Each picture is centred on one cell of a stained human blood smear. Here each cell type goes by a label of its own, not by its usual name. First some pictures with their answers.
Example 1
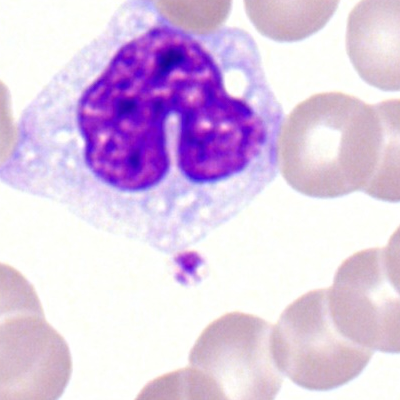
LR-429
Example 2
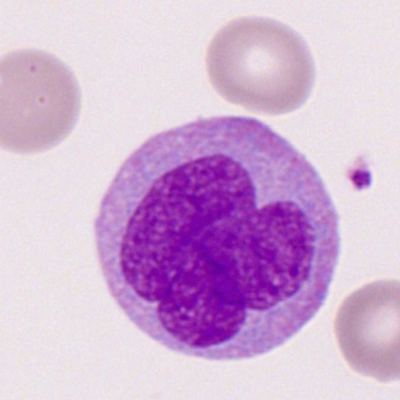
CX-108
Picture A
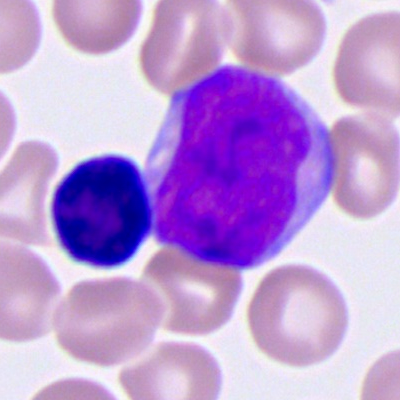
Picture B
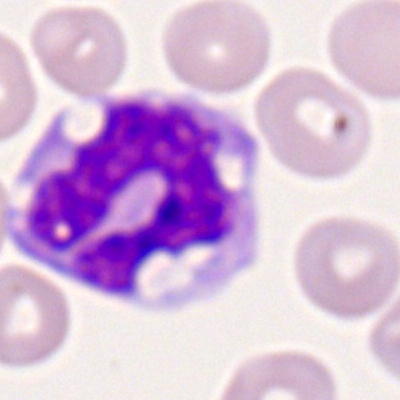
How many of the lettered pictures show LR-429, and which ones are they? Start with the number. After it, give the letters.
1, namely B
